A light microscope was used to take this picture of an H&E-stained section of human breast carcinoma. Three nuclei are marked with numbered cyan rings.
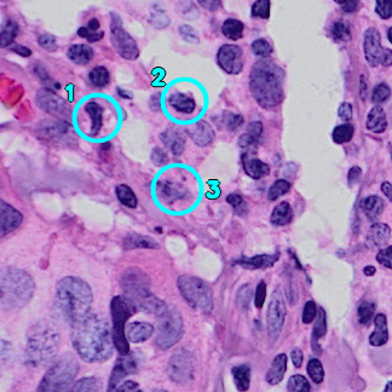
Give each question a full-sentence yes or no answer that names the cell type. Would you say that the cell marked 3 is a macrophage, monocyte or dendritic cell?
Yes, and to answer plainly, cell 3 is a macrophage, monocyte or dendritic cell.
